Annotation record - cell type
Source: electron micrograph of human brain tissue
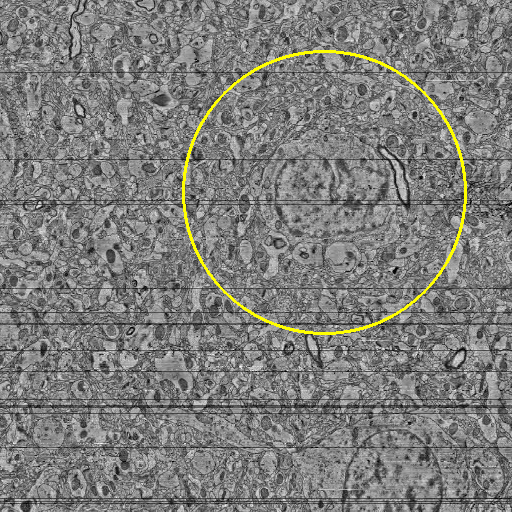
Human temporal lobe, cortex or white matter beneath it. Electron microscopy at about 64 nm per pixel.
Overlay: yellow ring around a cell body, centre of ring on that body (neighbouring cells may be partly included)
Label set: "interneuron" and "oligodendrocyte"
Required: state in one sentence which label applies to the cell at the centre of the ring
This cell should be labelled as an interneuron.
